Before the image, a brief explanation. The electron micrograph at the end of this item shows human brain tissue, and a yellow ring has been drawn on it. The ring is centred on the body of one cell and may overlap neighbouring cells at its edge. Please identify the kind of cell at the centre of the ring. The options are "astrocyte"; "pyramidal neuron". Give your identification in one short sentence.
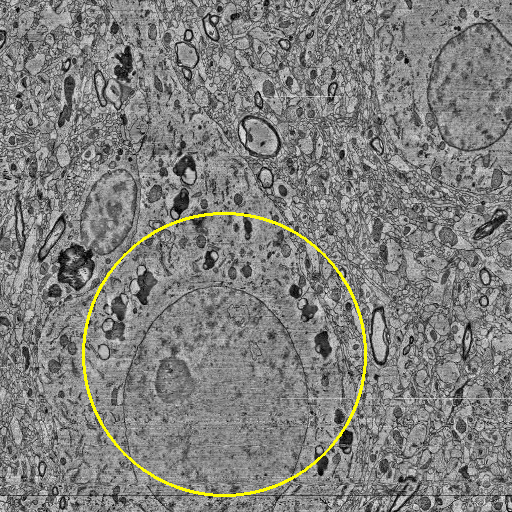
The ring has been placed around a pyramidal neuron.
